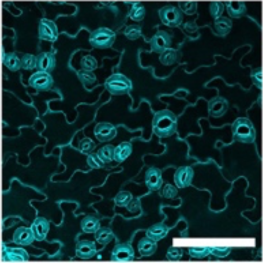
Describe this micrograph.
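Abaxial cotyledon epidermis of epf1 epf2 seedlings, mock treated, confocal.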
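Stomata are very numerous, each a pair of bean-shaped guard cells around a central pore, and many lie side by side touching one another. Between them sit wavy, jigsaw-shaped pavement cells and small, more angular cells.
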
